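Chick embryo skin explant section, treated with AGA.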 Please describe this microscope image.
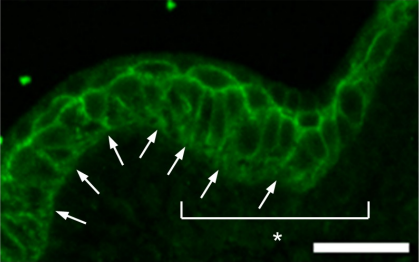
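The epithelial cells along the bottom of the bud are columnar, with outlines elongated perpendicular to the surface. Their basal edge runs as a curved line over the darker underlying mesenchyme, marking the basement membrane. The green outlines are somewhat fainter and less sharply defined than a crisp honeycomb pattern.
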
